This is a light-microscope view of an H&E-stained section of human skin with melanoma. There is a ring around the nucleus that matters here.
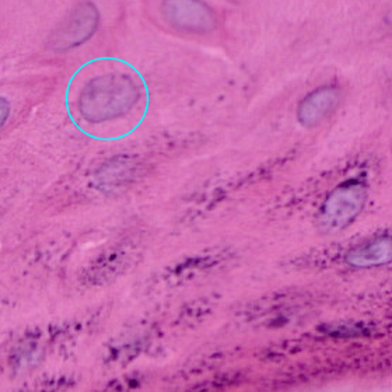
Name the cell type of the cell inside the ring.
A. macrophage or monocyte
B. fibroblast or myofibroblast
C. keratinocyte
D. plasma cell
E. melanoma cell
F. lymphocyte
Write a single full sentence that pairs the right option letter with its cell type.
Option C correctly identifies the cell inside the ring as a keratinocyte.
